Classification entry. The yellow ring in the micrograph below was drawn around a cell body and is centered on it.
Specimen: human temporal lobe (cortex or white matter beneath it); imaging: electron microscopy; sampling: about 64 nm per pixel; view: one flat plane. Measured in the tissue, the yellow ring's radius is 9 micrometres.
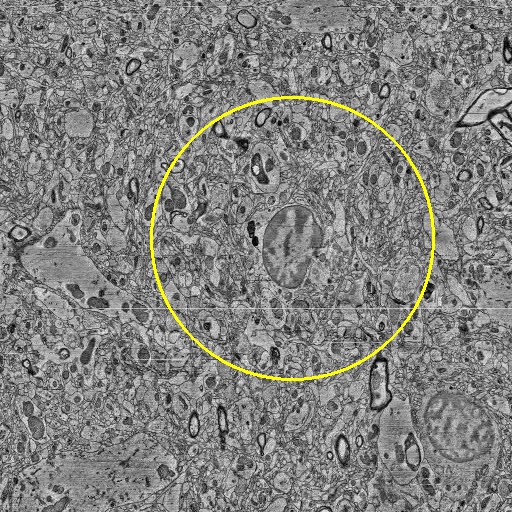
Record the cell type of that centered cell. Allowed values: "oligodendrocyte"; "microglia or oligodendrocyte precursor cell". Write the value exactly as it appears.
microglia or oligodendrocyte precursor cell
